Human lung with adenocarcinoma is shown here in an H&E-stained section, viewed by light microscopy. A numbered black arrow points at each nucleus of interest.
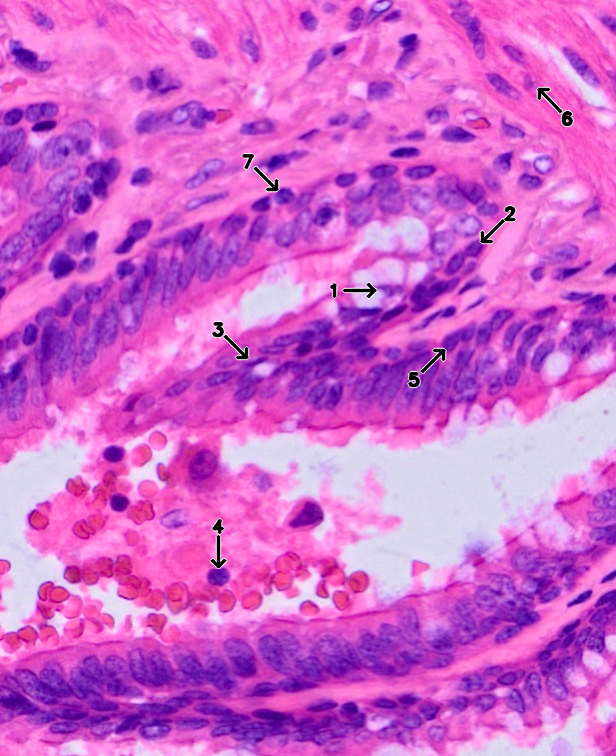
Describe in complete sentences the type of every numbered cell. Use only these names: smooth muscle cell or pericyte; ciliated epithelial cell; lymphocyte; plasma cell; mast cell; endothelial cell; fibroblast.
Cell 1 is a ciliated epithelial cell, cell 2 is a ciliated epithelial cell, cell 3 is a ciliated epithelial cell, cell 4 is a lymphocyte, cell 5 is a ciliated epithelial cell, cell 6 is a smooth muscle cell or pericyte and cell 7 is a lymphocyte.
